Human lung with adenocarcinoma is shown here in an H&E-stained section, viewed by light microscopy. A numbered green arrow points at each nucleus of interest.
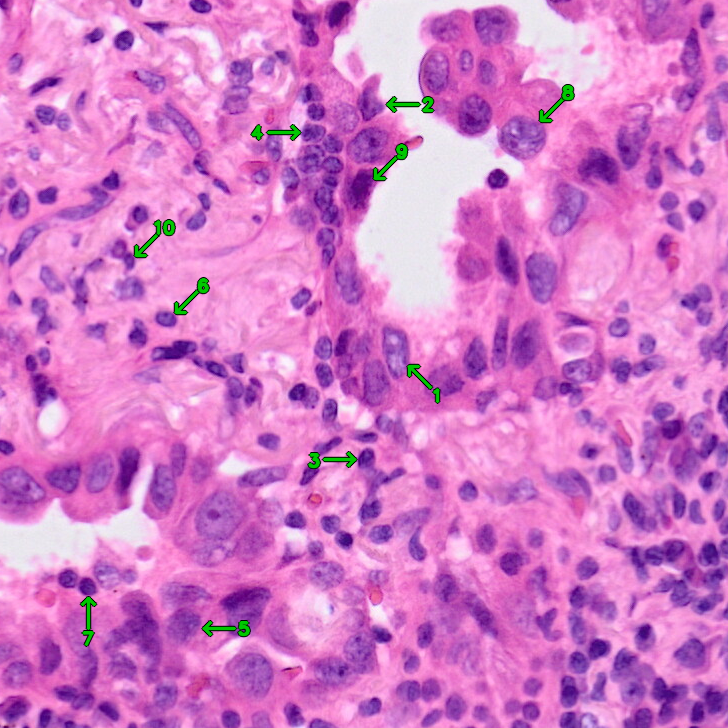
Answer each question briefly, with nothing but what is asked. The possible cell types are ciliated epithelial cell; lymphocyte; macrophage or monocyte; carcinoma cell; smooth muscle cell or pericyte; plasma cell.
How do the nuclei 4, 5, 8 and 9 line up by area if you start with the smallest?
4, 9, 5, 8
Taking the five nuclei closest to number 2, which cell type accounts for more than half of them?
lymphocyte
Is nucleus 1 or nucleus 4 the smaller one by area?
4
